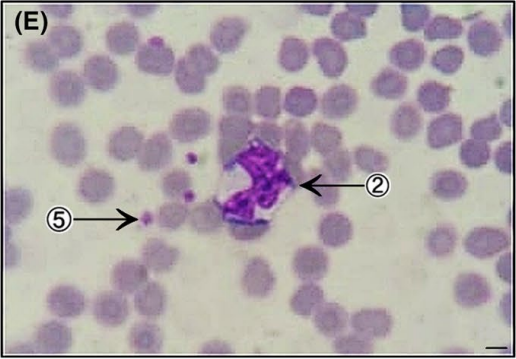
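Blood smear with a single large monocyte in the centre surrounded by red blood cells. The monocyte has a folded, horseshoe-like purple nucleus with a pale clear area inside its curve. Its cytoplasm is pale and bluish at the edge. Nearby lie a few tiny purple platelets, much smaller than the red cells and without nuclei. The red blood cells are round, without nuclei, and pale lilac.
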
